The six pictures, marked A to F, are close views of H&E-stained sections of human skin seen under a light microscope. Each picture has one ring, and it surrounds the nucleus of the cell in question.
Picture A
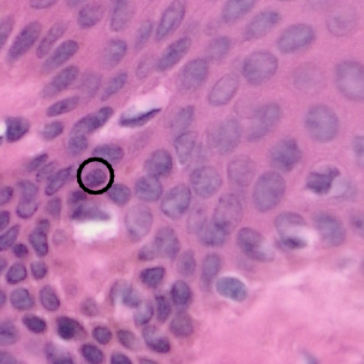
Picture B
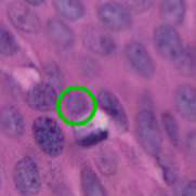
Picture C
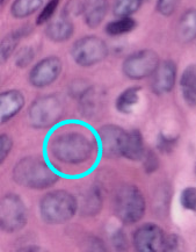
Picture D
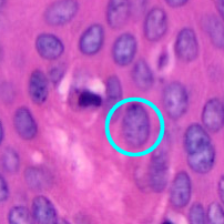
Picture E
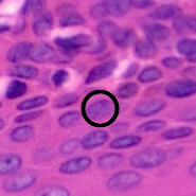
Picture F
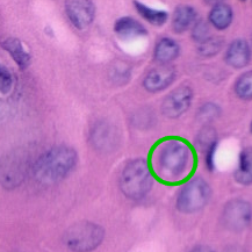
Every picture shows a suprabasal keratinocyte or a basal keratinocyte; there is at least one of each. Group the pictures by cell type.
A: basal keratinocyte
B: basal keratinocyte
C: suprabasal keratinocyte
D: basal keratinocyte
E: basal keratinocyte
F: suprabasal keratinocyte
